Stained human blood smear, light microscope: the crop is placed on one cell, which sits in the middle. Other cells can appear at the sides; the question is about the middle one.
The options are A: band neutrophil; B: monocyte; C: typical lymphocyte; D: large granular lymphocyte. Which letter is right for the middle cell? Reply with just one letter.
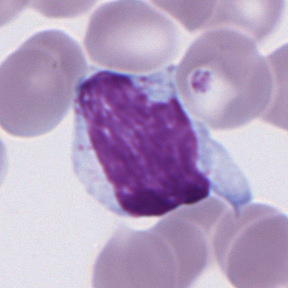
D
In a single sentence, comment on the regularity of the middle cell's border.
A ragged or projecting edge replaces the smooth outline in this cell.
